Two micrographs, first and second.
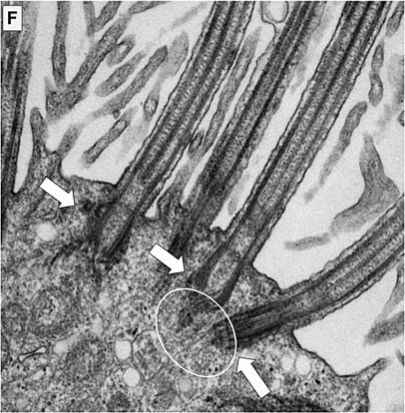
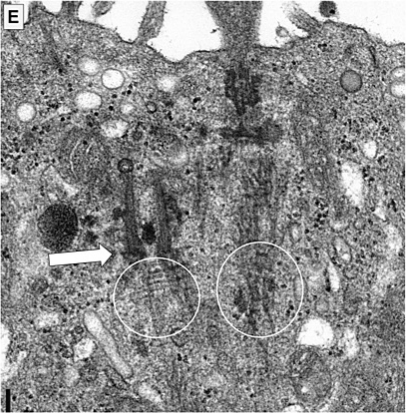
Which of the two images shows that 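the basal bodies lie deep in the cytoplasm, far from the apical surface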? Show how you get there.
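First image: basal bodies sit at the apical surface at the bases of numerous long cilia. Second image: dense bodies with striated rootlets lie well below the apical surface, with few cilia above.
The second image.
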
